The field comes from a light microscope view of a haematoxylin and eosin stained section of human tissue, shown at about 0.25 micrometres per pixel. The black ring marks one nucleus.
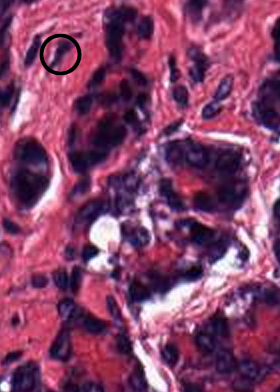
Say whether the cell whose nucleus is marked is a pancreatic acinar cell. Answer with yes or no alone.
no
